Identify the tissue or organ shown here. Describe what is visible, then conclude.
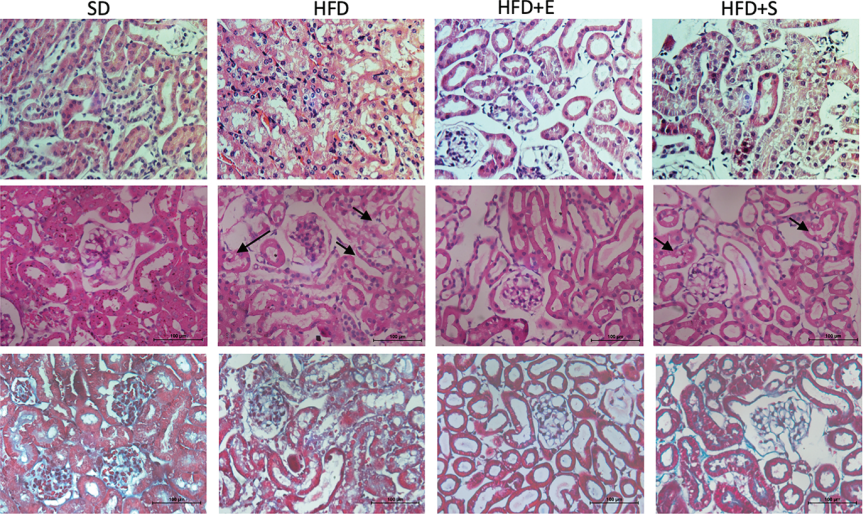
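Many round and tubular profiles cut in cross section, each lined by a single layer of epithelial cells around a lumen. Round tufts of capillaries lie inside a clear space, like glomeruli. On this evidence: kidney.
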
